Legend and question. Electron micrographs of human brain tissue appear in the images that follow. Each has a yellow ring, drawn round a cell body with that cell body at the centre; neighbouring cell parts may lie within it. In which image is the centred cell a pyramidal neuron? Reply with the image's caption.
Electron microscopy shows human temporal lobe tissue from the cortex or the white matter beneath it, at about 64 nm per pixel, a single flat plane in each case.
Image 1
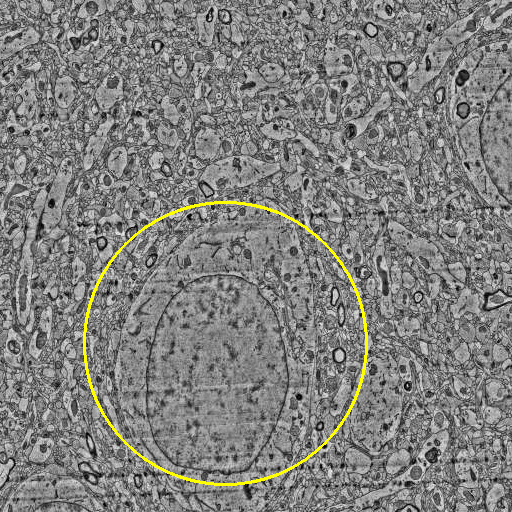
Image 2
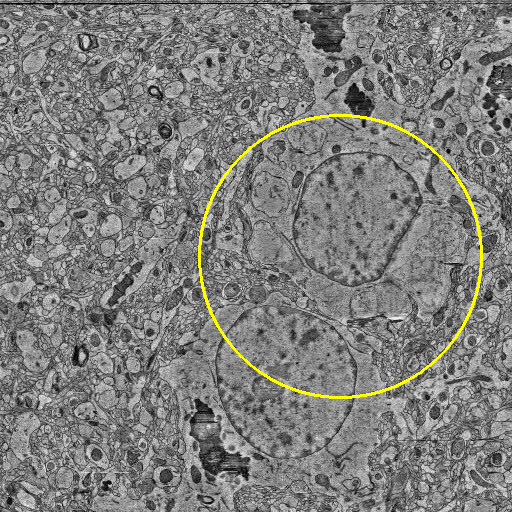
Image 1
